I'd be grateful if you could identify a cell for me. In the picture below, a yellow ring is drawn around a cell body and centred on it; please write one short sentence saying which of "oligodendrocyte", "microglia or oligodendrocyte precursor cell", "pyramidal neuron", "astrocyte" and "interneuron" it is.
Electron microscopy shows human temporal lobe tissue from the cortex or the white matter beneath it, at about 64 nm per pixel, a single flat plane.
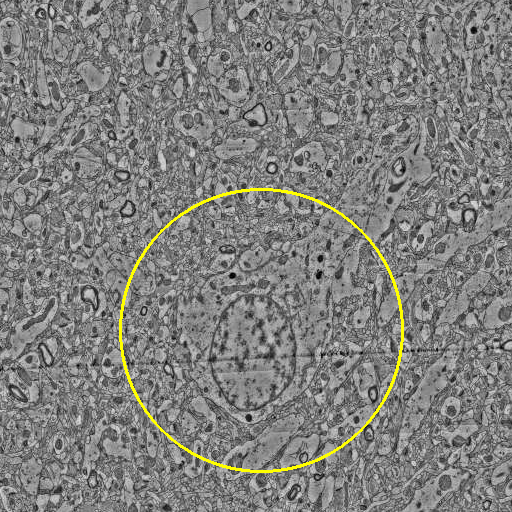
The cell under the ring's centre is a pyramidal neuron.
